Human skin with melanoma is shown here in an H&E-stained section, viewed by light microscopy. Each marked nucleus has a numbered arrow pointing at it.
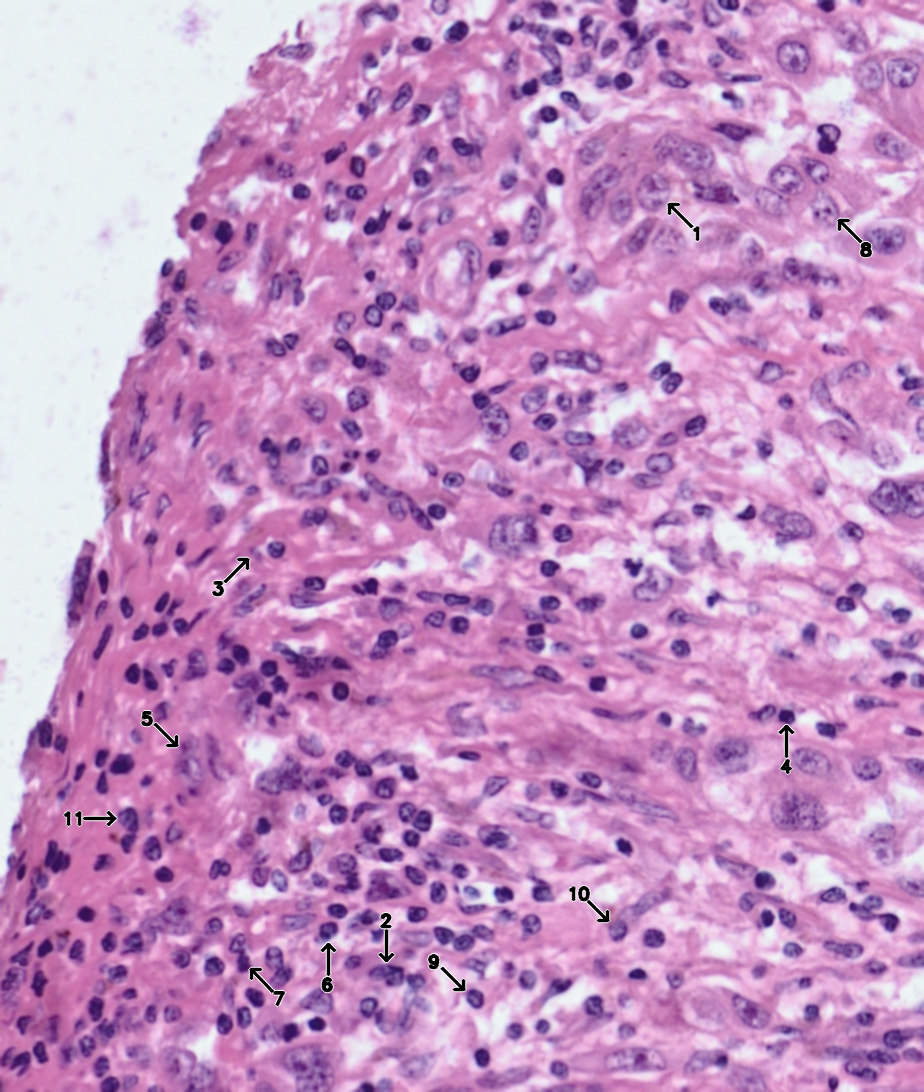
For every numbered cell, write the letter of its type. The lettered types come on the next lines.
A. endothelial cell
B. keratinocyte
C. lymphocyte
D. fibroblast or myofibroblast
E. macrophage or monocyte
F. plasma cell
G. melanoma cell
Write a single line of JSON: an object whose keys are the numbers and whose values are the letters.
{"1": "G", "2": "F", "3": "D", "4": "C", "5": "G", "6": "C", "7": "C", "8": "G", "9": "C", "10": "F", "11": "F"}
